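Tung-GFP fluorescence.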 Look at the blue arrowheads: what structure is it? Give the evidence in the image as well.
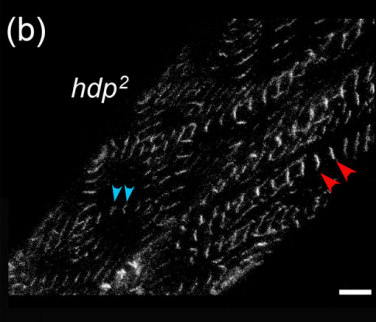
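Bright short bands repeat at regular intervals in rows. The blue arrowheads point to two adjacent bands in a row. The answer: sarcomeres.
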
